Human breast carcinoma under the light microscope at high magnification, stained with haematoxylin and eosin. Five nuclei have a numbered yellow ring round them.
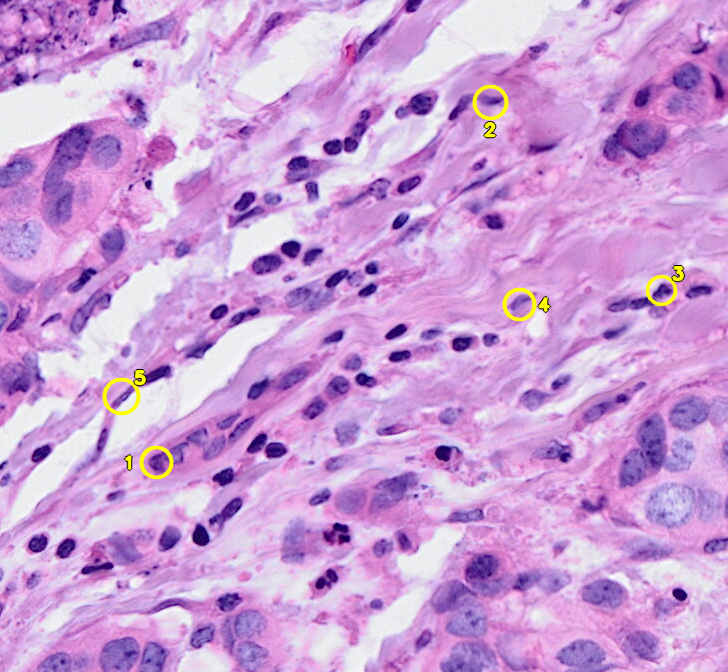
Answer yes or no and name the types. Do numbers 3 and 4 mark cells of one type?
No, the cell bearing number 3 is a lymphocyte, while the one bearing number 4 is a fibroblast.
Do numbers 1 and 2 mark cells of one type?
No, here cell 1 is an endothelial cell, whereas cell 2 is a fibroblast.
